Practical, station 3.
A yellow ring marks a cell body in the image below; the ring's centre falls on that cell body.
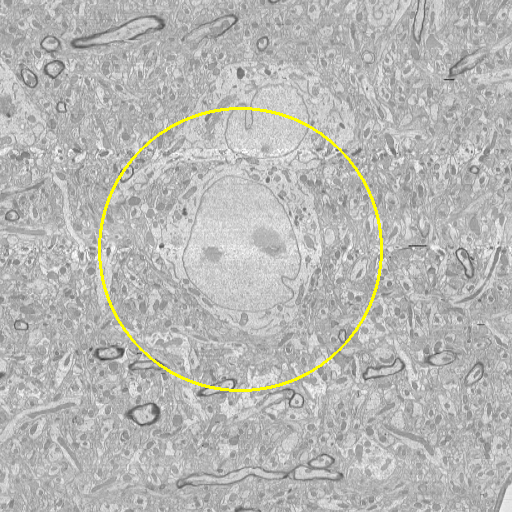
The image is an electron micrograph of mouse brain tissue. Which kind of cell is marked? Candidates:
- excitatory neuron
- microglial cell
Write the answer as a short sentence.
The marked cell body is that of an excitatory neuron.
